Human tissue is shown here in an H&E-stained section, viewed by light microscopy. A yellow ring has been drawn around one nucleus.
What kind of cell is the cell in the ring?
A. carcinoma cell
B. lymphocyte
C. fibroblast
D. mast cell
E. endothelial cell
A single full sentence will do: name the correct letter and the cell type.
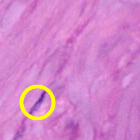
Option C is the one that fits, as the cell in the ring is a fibroblast.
